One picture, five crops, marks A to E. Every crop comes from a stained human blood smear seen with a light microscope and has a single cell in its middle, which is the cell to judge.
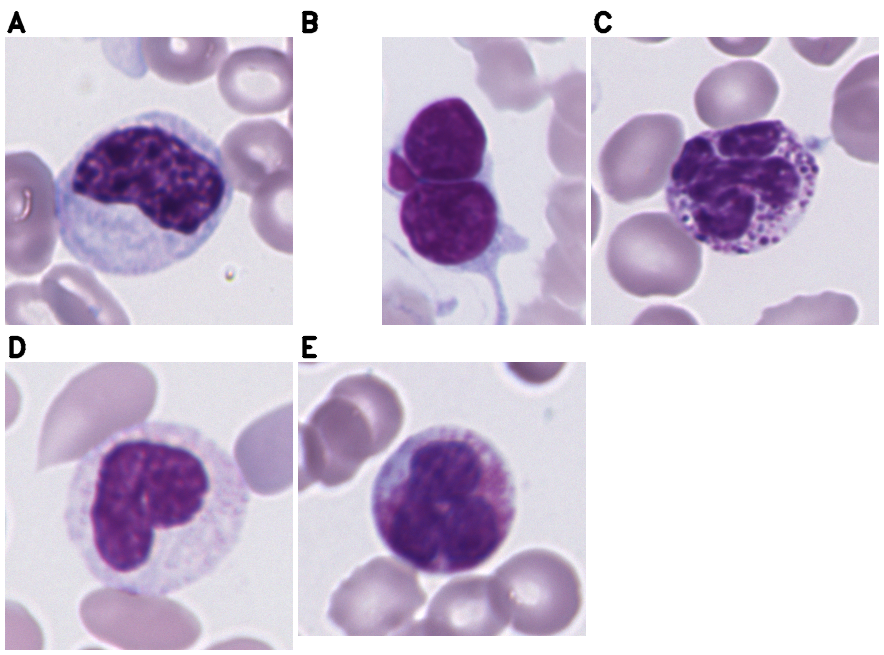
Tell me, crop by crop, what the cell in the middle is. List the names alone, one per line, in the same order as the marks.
metamyelocyte
myeloblast
basophil
segmented neutrophil
eosinophil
